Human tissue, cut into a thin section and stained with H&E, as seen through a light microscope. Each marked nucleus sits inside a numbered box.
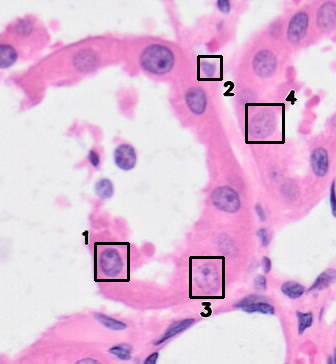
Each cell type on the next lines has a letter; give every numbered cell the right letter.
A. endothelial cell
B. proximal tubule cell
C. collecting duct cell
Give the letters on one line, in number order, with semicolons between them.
B; A; B; B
